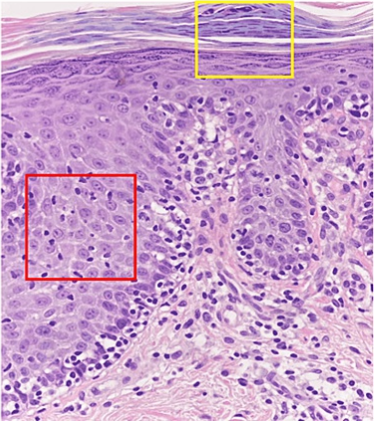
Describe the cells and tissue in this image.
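This is epidermis seen at high power, with the pink dermis at the bottom and the cornified layer at the top. The keratinocytes are large with pale pink cytoplasm and round nuclei, and among them lie scattered small cells with dark, compact nuclei that have entered the epidermis from below. The cornified layer at the top still holds flattened dark nuclei in places, where normally it would be free of nuclei. Between the epidermal ridges, the papillary dermis is crowded with small dark inflammatory cells.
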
